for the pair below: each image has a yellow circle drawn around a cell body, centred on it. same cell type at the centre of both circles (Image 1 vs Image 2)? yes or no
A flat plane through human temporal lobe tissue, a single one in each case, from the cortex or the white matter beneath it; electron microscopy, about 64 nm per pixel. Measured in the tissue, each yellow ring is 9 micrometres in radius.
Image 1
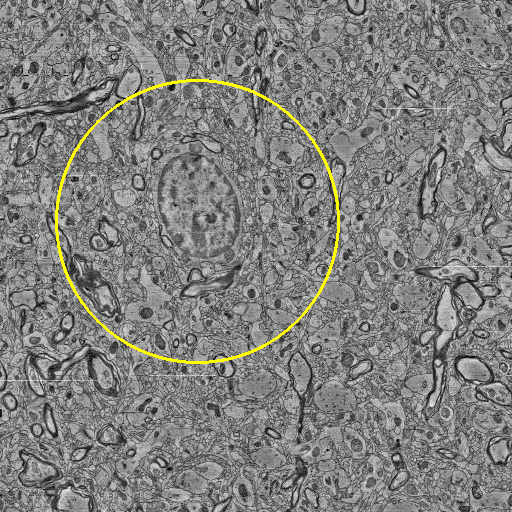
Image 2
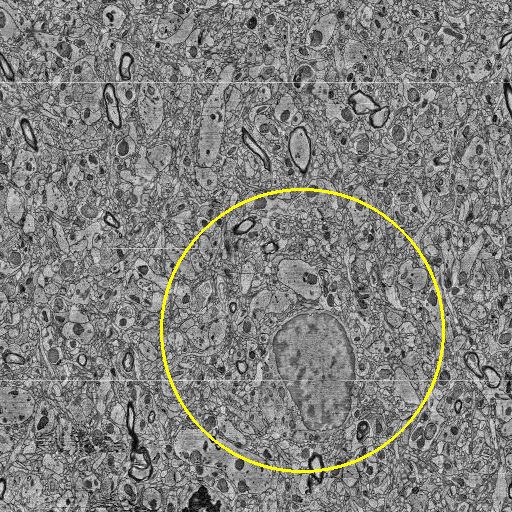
yes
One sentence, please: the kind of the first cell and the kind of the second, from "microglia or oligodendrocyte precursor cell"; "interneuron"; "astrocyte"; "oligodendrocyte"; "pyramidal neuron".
In the first picture and in the second, the ring is centred on an oligodendrocyte.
